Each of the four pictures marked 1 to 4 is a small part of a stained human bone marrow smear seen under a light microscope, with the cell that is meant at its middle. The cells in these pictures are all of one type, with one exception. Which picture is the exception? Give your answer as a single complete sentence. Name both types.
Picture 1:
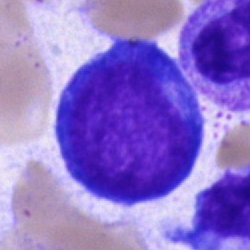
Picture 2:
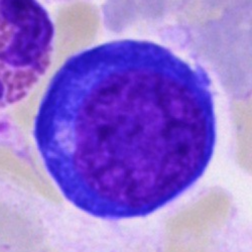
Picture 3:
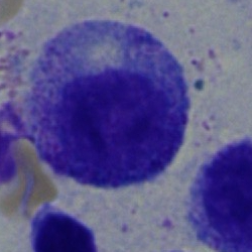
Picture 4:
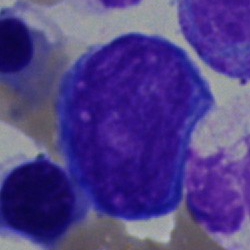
Picture 3 is the odd one out: it shows a myelocyte, while the others show proerythroblasts.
